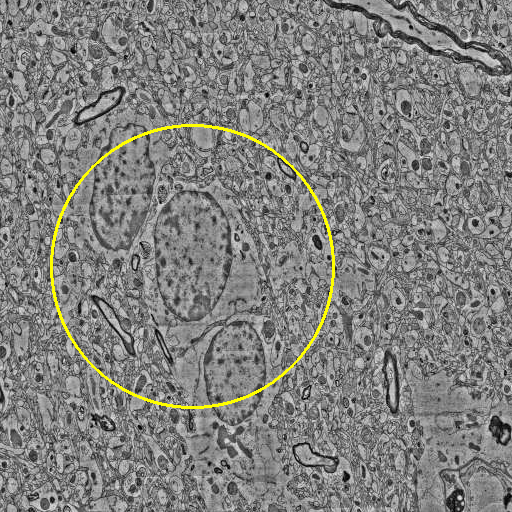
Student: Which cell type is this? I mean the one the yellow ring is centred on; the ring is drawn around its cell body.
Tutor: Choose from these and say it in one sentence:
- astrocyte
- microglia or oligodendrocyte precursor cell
The cell the ring is centred on is an astrocyte.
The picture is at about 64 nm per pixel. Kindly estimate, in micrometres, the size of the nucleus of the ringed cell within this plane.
About 8 by 5 micrometers; the nucleus is clearly longer than it is wide in this plane.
